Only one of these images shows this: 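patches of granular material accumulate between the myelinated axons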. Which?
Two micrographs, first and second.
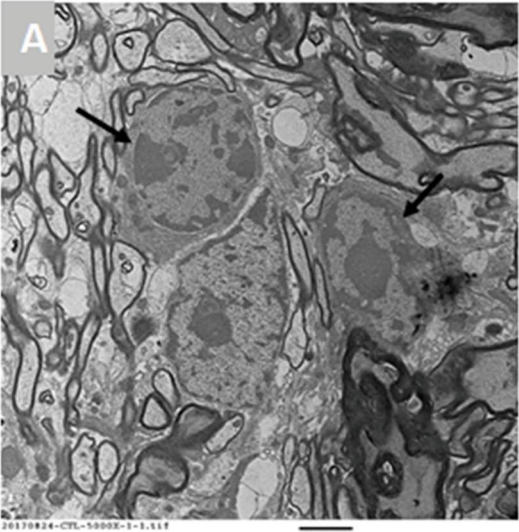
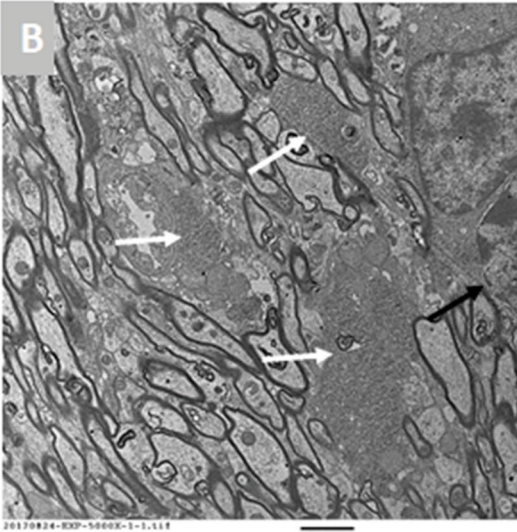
the second image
